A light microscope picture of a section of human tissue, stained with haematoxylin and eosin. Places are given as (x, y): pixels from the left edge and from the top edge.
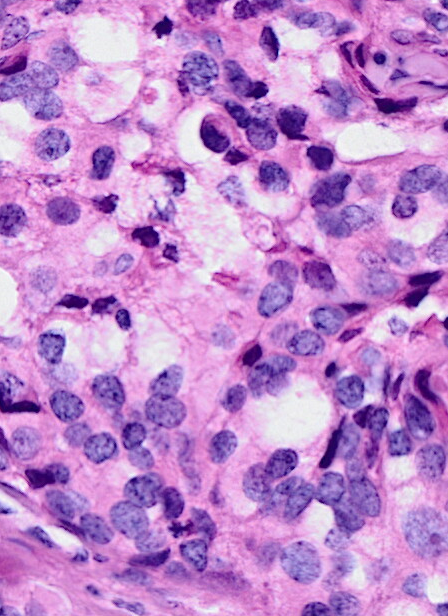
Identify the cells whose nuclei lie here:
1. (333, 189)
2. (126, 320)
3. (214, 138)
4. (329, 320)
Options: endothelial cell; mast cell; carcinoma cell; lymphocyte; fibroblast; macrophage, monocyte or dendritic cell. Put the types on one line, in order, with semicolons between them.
carcinoma cell; lymphocyte; carcinoma cell; carcinoma cell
